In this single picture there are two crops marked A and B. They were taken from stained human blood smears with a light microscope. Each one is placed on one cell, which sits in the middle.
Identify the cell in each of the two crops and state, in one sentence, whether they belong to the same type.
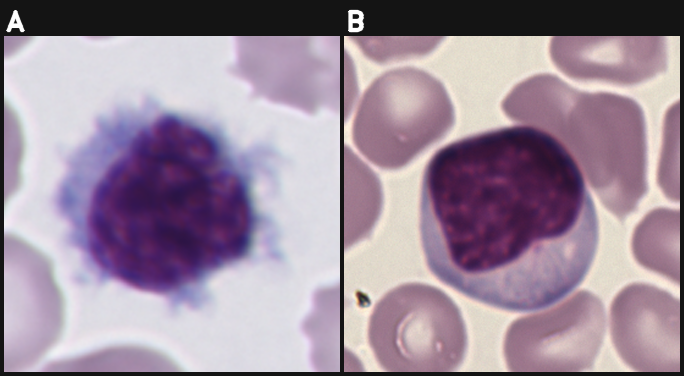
No, a hairy cell occupies the middle of crop A, and a typical lymphocyte the middle of crop B.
